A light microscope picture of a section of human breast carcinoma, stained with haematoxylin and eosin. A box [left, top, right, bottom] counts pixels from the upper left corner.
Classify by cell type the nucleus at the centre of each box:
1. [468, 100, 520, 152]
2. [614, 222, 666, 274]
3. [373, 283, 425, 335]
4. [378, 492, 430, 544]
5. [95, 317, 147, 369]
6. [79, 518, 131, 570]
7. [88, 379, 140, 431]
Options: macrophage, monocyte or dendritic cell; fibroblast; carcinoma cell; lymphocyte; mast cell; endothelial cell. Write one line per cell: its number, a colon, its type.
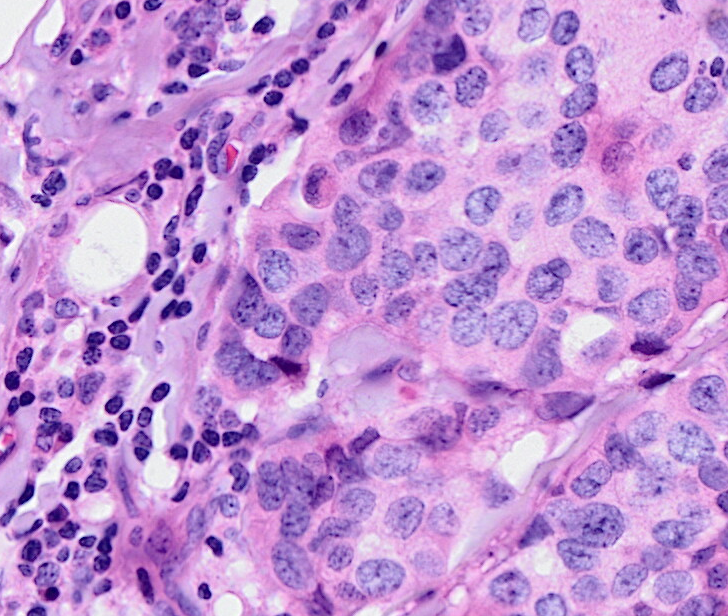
1: carcinoma cell
2: carcinoma cell
3: carcinoma cell
4: carcinoma cell
5: lymphocyte
6: lymphocyte
7: lymphocyte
